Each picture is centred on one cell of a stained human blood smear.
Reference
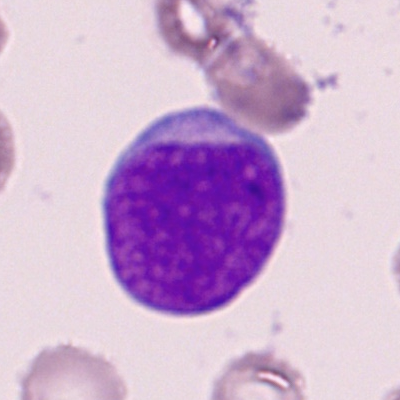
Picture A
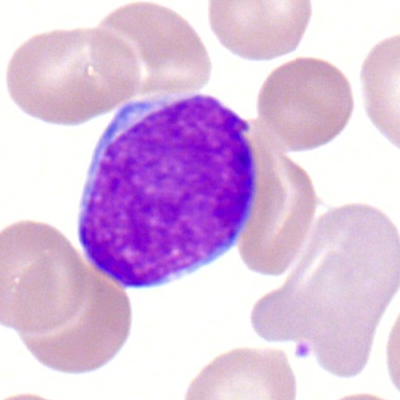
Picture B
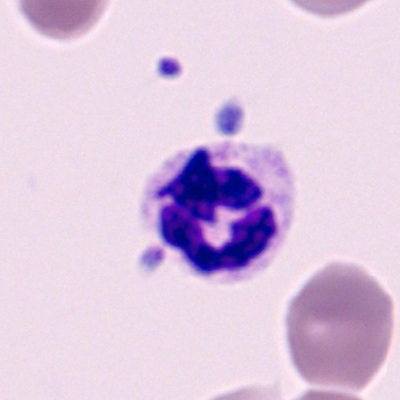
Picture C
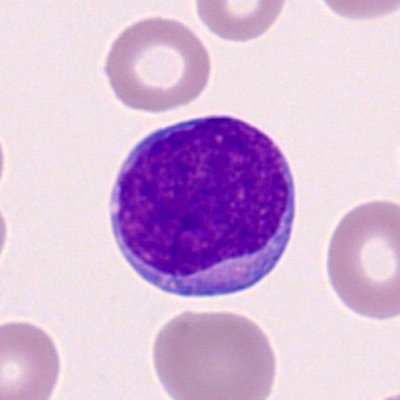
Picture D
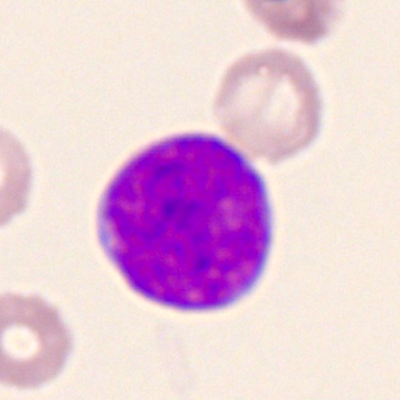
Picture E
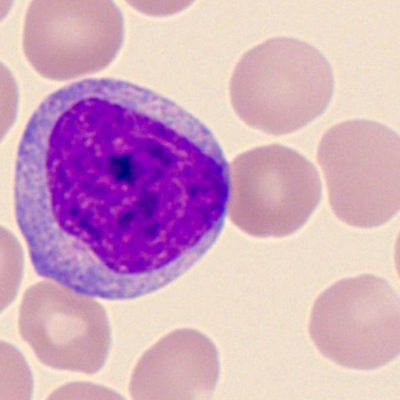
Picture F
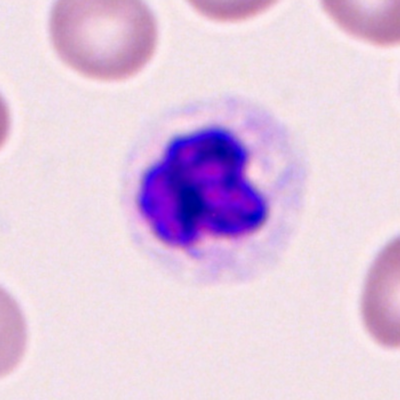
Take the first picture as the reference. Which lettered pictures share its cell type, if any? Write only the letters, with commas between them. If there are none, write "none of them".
A, C, D, E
